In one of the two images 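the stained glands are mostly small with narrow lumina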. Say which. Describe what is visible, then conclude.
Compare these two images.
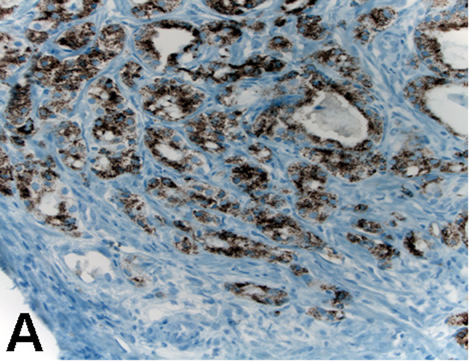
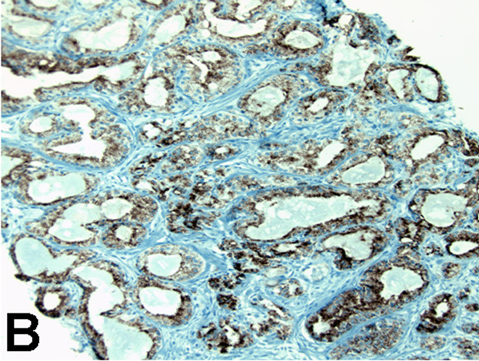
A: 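The first image. Second image: the brown-lined glands have wide, open lumina. First image: the brown-stained glands are small, crowded acini with narrow lumina.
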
